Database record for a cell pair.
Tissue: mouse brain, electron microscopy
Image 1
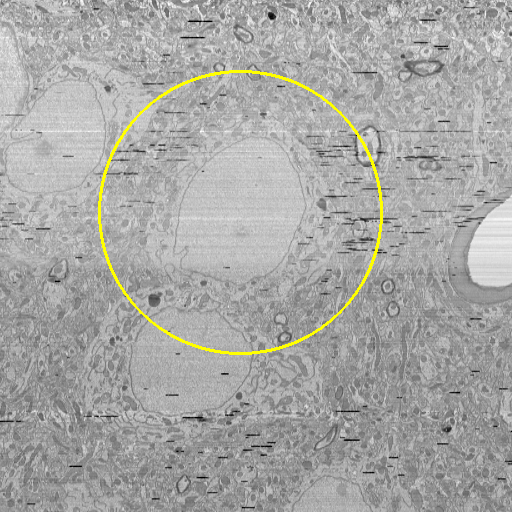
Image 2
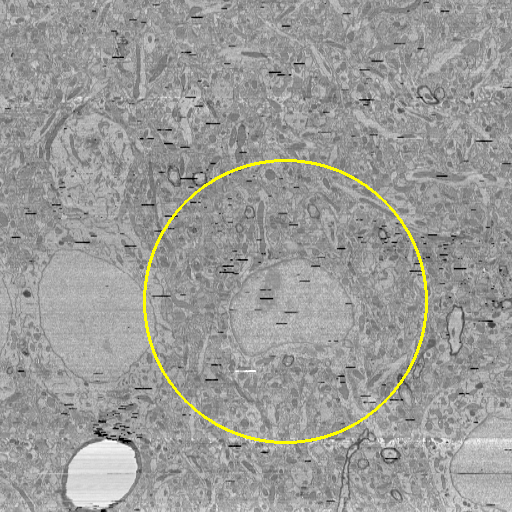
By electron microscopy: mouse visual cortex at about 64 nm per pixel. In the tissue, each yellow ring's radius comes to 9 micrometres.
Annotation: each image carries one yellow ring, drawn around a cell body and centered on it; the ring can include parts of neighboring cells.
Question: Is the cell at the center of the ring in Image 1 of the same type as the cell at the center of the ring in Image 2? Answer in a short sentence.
No, the cells are of two types.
